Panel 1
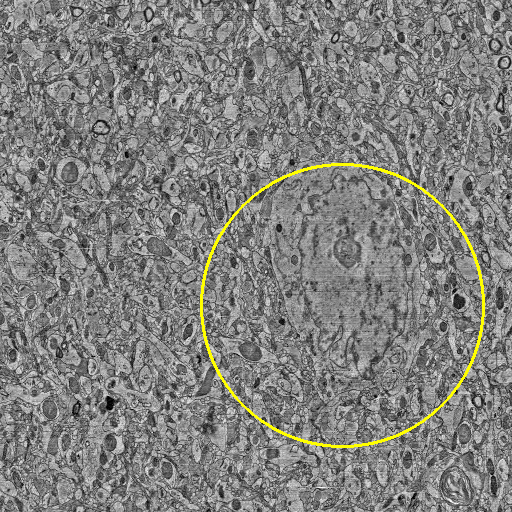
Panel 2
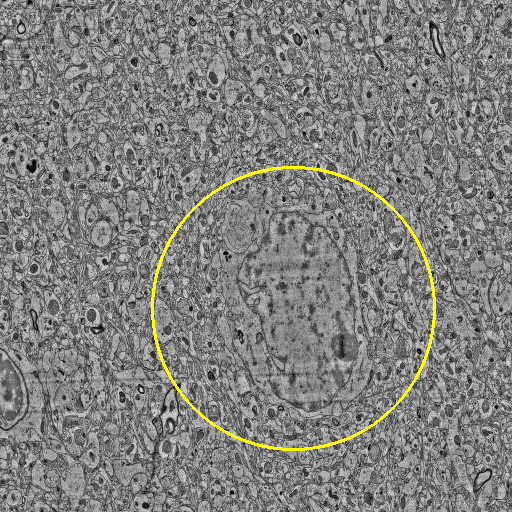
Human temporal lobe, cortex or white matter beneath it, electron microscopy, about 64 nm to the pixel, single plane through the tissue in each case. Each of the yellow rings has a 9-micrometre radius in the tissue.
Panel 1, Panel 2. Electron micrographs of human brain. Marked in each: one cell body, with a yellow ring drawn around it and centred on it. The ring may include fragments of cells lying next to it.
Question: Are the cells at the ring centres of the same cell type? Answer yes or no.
yes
